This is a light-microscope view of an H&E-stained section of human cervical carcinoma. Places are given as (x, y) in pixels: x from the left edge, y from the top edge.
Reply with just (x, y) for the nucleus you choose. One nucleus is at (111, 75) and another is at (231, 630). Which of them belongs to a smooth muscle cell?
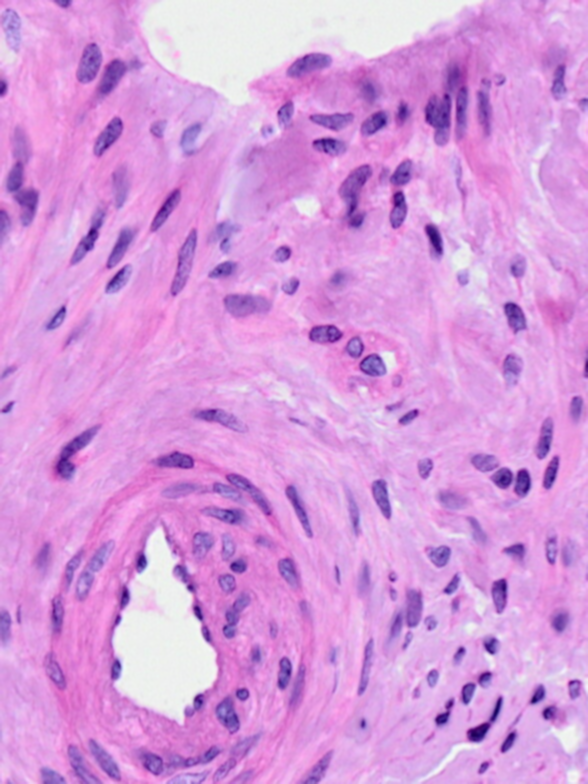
(231, 630)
